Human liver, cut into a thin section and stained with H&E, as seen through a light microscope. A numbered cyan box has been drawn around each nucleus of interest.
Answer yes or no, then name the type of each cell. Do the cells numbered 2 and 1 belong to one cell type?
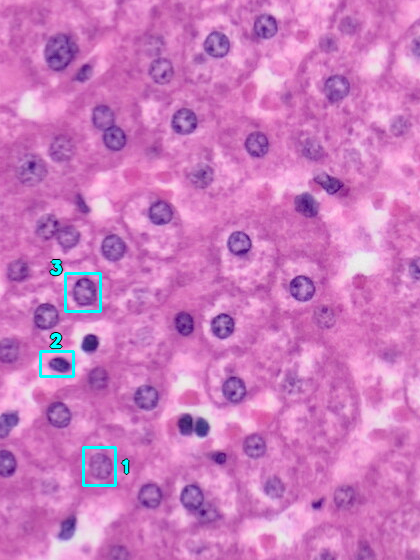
No, in this section cell 2 is a lymphocyte and cell 1 is a hepatocyte.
